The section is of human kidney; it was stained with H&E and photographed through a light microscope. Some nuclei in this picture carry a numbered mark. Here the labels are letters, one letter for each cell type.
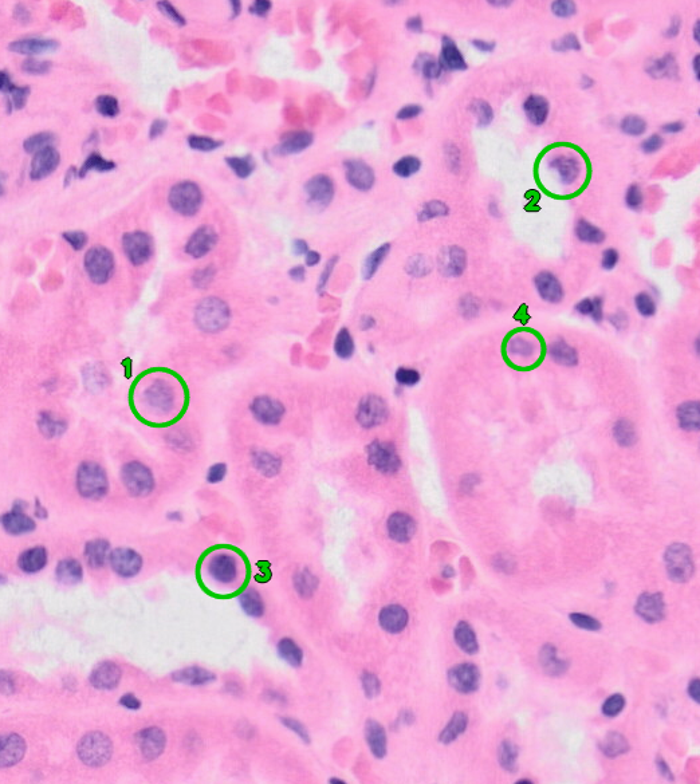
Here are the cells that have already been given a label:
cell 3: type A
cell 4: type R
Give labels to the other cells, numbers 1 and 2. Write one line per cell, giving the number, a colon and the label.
1: type R
2: type A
